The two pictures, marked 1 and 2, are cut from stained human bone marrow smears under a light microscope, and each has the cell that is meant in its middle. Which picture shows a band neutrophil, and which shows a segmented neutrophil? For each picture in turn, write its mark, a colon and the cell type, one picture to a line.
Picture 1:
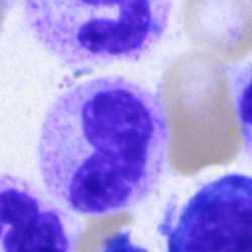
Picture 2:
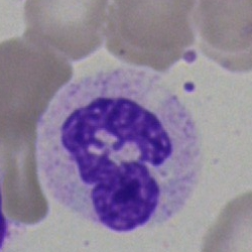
1: band neutrophil
2: segmented neutrophil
